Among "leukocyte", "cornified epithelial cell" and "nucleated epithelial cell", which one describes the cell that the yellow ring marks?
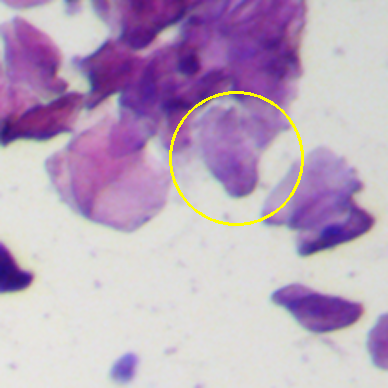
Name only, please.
cornified epithelial cell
